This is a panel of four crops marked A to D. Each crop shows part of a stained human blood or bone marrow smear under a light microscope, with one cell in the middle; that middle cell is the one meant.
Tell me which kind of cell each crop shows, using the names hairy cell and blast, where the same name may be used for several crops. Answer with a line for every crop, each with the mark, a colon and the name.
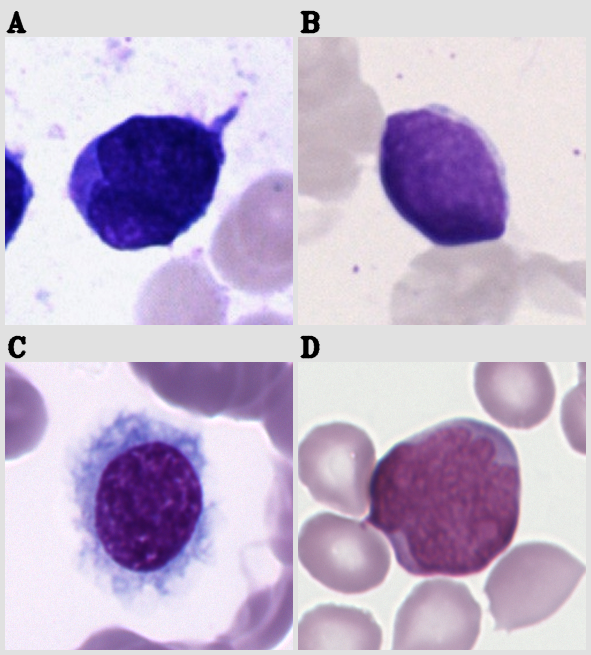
A: blast
B: blast
C: hairy cell
D: blast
